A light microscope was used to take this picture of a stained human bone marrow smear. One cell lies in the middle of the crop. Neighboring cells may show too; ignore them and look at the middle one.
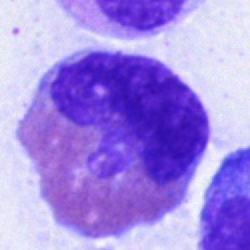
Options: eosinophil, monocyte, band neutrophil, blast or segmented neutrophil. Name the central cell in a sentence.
Whatever else lies nearby, the middle cell is an eosinophil.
